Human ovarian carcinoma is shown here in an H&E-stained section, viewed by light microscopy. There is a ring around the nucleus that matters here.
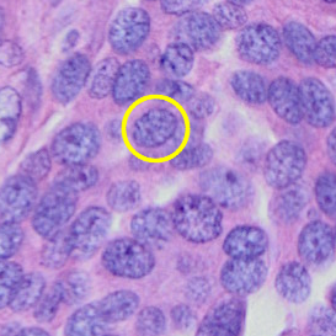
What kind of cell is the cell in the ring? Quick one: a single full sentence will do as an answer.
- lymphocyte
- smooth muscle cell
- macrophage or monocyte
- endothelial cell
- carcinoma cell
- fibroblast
As far as its identity is concerned, the cell in the ring is a carcinoma cell.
